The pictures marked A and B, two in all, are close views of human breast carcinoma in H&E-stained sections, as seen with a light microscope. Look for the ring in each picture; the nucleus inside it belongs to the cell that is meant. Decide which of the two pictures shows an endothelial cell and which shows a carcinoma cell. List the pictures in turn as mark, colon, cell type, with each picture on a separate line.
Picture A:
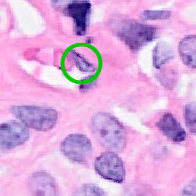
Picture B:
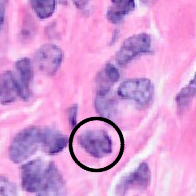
A: endothelial cell
B: carcinoma cell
